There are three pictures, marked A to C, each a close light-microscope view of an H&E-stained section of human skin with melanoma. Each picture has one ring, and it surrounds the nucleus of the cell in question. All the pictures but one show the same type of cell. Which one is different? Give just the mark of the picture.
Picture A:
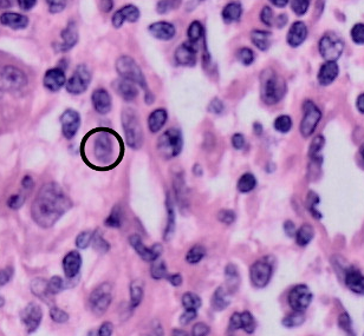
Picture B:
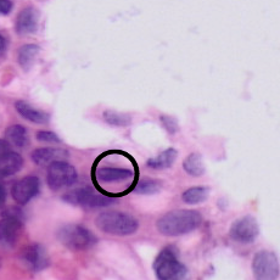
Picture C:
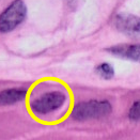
A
